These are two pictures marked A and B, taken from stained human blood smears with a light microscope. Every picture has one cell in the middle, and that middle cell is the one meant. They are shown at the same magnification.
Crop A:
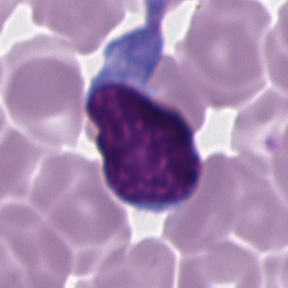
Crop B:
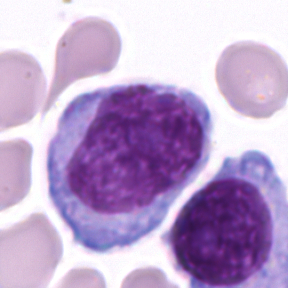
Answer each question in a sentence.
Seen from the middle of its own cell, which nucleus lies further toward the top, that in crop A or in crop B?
It is the nucleus in crop B that lies further toward the top of its cell.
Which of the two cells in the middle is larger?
It is the cell in crop B, about 1.5 times as large in area as the cell in crop A.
